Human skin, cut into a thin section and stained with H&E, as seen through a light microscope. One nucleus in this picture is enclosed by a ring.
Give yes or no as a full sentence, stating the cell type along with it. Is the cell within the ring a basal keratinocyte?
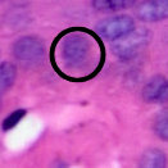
Yes, what the cell within the ring represents in this tissue is a basal keratinocyte.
